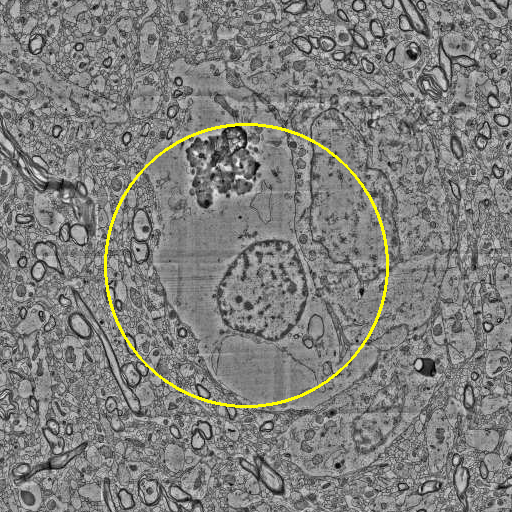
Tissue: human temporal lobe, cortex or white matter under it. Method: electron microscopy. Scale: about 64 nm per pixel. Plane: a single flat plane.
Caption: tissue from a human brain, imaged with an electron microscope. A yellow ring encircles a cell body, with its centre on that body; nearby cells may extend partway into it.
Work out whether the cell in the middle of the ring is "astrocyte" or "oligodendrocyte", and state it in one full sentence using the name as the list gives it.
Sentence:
In the picture, the cell that the yellow ring surrounds at its centre is an astrocyte.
